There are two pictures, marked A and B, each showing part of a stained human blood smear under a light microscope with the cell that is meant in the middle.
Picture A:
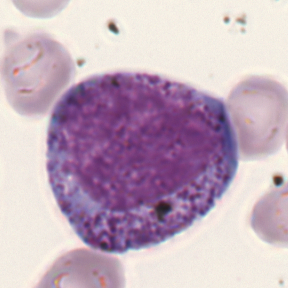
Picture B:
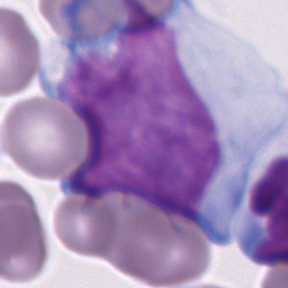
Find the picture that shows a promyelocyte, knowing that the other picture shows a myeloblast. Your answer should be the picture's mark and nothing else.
A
